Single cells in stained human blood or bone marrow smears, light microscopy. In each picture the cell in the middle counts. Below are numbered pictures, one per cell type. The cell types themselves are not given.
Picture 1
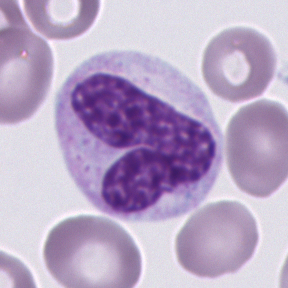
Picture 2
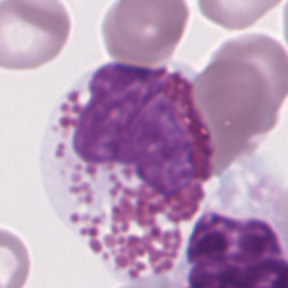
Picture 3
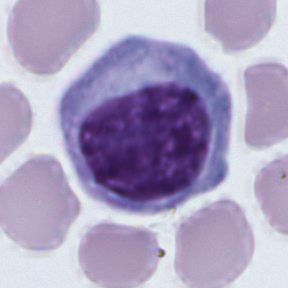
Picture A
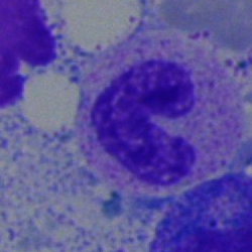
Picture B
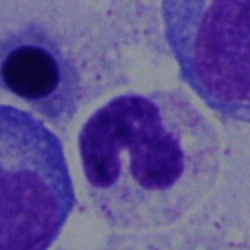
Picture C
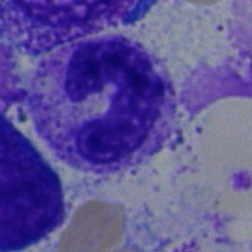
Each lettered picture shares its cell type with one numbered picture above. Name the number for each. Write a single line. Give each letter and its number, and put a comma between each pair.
A 1, B 1, C 1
